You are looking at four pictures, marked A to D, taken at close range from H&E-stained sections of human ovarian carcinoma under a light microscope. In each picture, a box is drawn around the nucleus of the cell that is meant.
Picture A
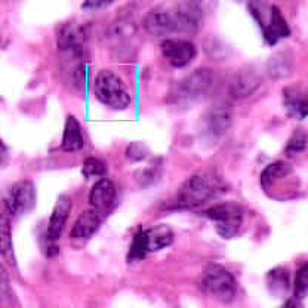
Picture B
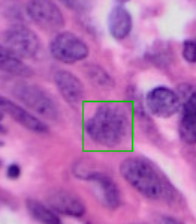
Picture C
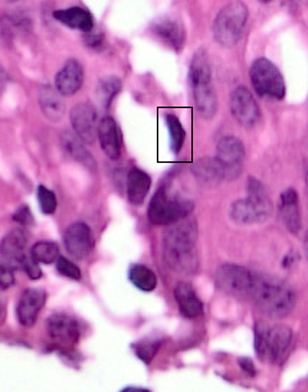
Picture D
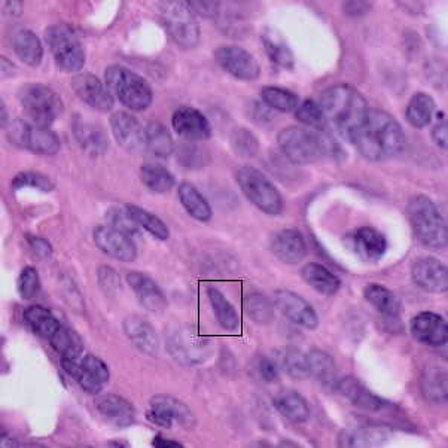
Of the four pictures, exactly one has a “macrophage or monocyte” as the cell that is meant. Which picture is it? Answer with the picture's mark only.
A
